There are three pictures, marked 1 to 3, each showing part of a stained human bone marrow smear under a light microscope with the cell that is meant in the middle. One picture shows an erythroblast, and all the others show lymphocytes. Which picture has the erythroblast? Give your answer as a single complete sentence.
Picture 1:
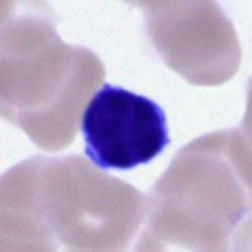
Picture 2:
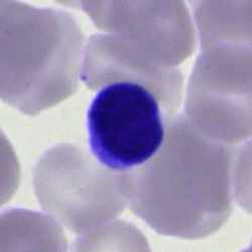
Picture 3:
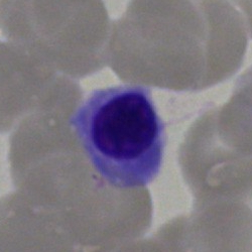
The cell in picture 3 is the erythroblast.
